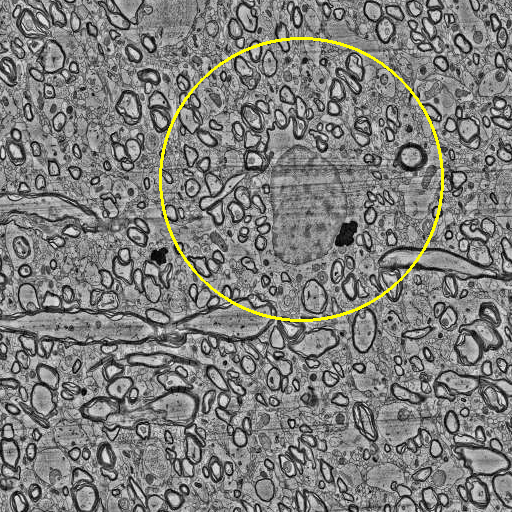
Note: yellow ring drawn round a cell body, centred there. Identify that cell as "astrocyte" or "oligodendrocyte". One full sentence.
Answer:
The cell in the middle of the ring is an oligodendrocyte.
